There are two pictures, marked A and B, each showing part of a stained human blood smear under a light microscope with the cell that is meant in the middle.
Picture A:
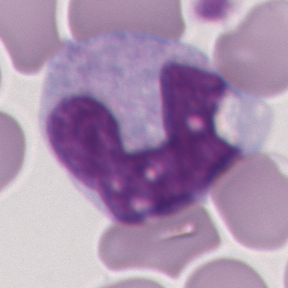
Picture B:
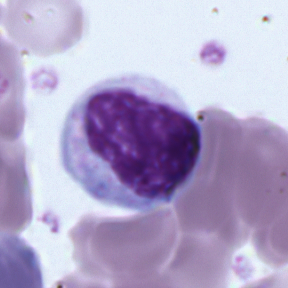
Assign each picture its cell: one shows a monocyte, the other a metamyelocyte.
A: monocyte
B: metamyelocyte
